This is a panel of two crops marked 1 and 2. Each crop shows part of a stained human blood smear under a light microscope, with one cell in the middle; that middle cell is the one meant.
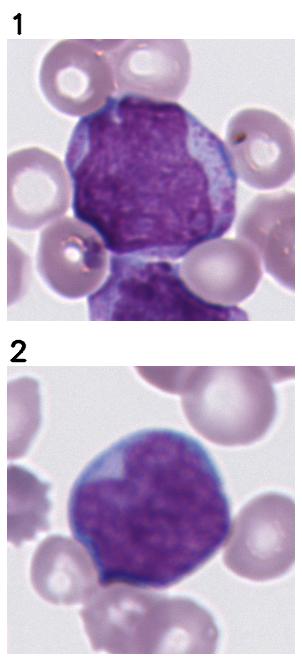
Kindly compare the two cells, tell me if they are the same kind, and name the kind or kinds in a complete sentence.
No, crop 1 features an atypical promyelocyte, and crop 2 features a myeloblast.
